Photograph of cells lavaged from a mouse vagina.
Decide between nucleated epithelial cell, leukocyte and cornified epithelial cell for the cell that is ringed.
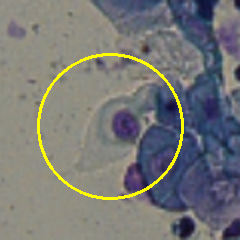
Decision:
I take the ringed cell for a nucleated epithelial cell.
